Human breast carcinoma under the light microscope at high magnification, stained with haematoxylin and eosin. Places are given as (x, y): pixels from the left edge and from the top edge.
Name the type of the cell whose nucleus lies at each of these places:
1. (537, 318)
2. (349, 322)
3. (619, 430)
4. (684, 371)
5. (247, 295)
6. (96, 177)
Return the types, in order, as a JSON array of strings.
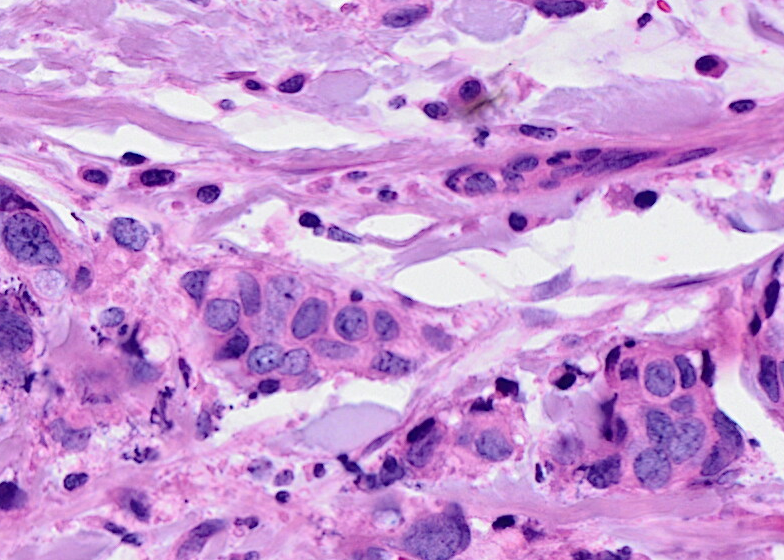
["fibroblast", "carcinoma cell", "carcinoma cell", "carcinoma cell", "carcinoma cell", "mast cell"]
